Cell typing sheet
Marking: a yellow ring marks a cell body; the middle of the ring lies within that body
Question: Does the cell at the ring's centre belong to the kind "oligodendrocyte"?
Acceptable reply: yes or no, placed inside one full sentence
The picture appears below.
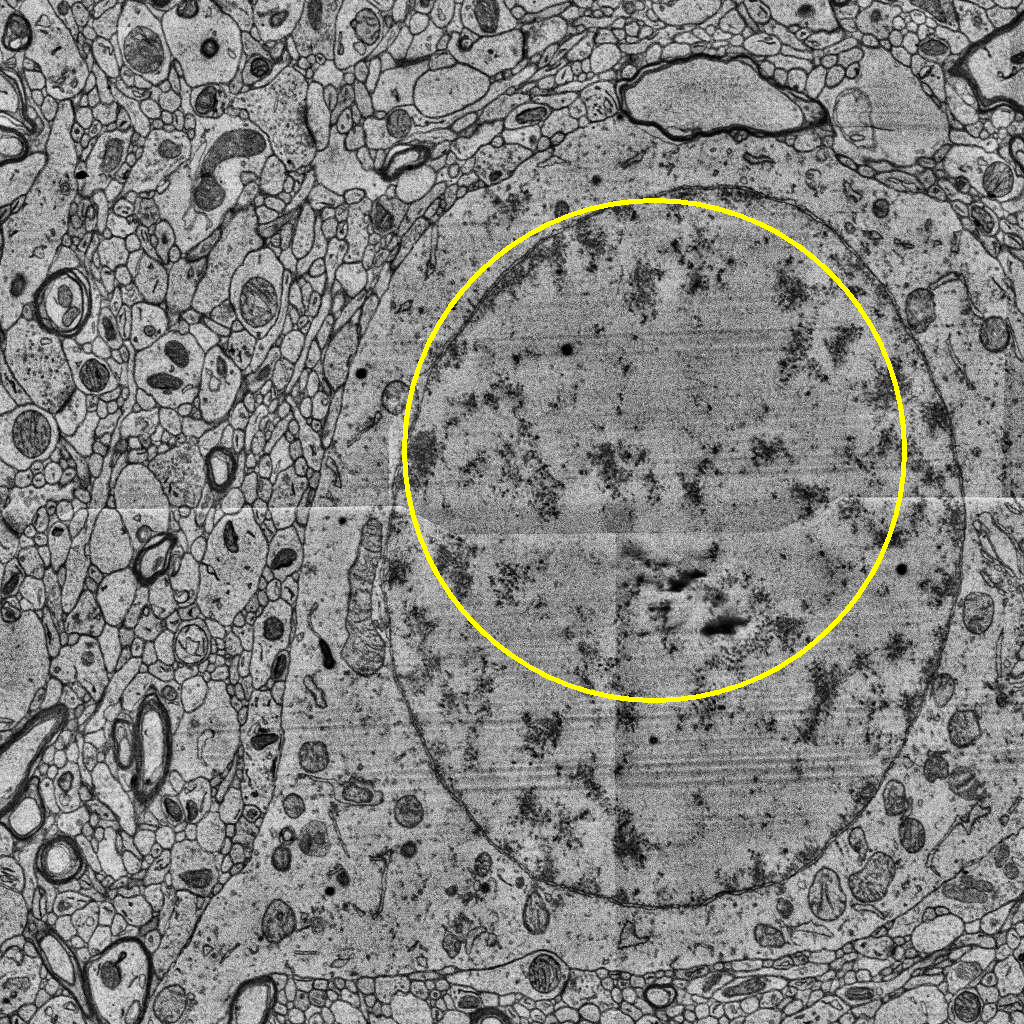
No, the cell at the centre of the ring belongs to a different kind.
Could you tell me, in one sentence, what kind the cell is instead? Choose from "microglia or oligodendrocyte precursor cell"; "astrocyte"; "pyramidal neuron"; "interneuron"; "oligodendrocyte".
Instead, the ring surrounds a pyramidal neuron in this picture.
